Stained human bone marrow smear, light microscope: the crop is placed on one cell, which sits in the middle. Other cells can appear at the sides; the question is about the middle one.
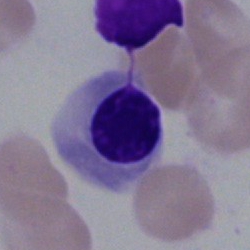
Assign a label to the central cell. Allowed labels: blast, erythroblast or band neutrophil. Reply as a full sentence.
The centrally placed cell is classified as an erythroblast.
